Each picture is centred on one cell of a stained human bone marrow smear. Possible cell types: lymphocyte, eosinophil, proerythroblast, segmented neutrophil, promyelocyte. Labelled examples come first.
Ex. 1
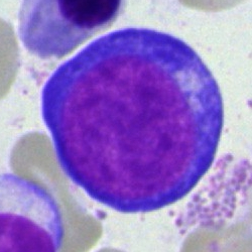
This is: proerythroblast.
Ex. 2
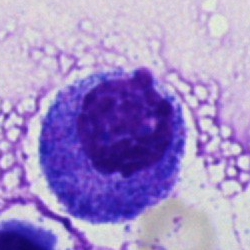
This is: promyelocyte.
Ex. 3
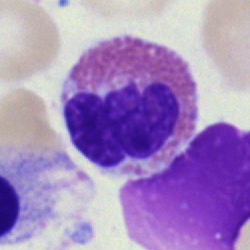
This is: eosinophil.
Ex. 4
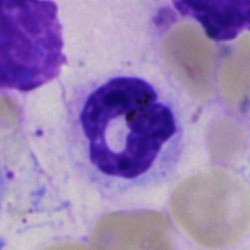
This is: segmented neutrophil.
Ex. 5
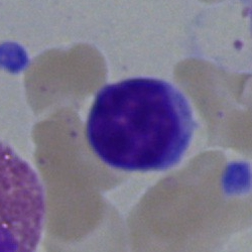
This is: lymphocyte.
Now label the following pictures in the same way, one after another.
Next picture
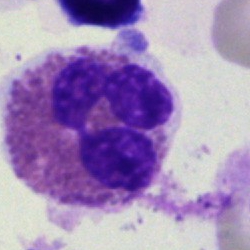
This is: eosinophil.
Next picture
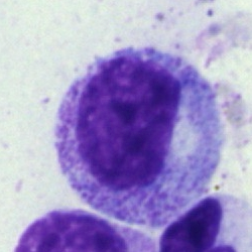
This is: promyelocyte.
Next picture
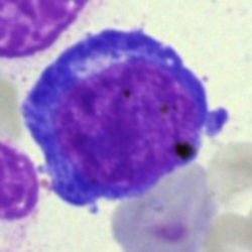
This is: proerythroblast.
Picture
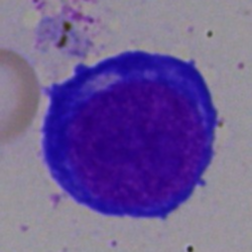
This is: proerythroblast.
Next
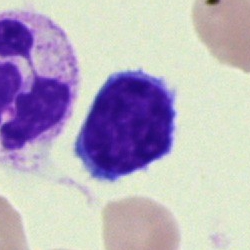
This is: lymphocyte.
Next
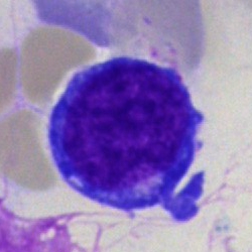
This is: proerythroblast.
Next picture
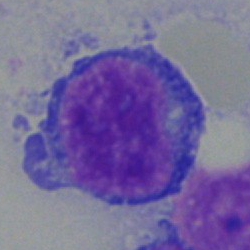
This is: proerythroblast.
